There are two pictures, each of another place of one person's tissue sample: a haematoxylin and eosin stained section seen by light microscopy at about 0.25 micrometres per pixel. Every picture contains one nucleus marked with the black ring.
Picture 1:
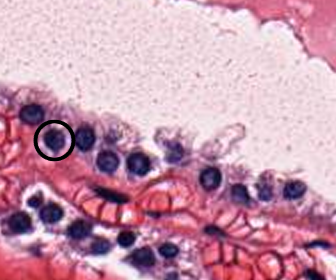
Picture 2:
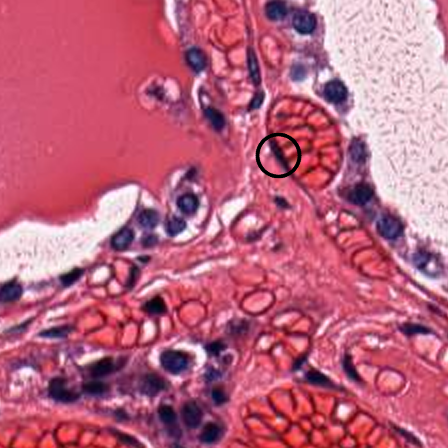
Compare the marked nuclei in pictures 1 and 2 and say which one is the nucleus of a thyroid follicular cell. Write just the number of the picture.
1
